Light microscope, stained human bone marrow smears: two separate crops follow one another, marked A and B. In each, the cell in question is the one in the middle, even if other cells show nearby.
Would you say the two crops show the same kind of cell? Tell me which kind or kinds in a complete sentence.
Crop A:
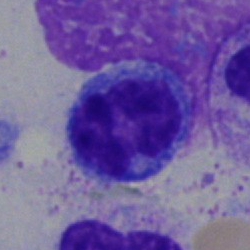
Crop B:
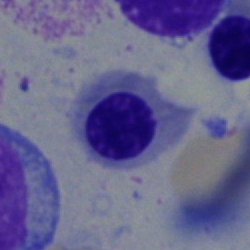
No, record crop A as a lymphocyte and crop B as an erythroblast.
